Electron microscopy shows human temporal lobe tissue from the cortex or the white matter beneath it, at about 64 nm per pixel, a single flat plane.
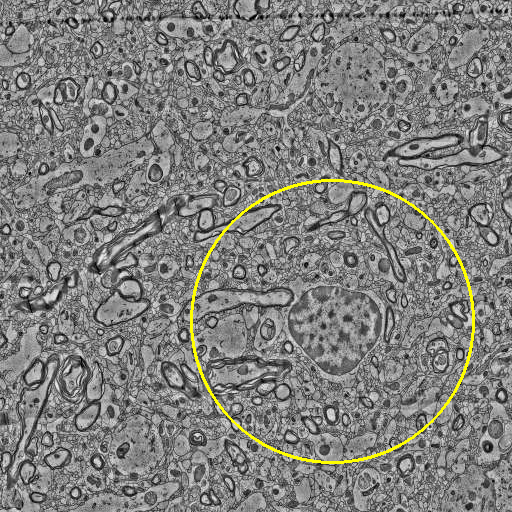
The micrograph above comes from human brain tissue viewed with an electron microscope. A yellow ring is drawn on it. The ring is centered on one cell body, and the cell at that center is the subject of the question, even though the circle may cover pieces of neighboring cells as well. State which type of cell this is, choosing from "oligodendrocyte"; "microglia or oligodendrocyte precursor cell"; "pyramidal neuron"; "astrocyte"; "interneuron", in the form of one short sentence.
The cell the ring is centered on is a microglial cell or oligodendrocyte precursor cell.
